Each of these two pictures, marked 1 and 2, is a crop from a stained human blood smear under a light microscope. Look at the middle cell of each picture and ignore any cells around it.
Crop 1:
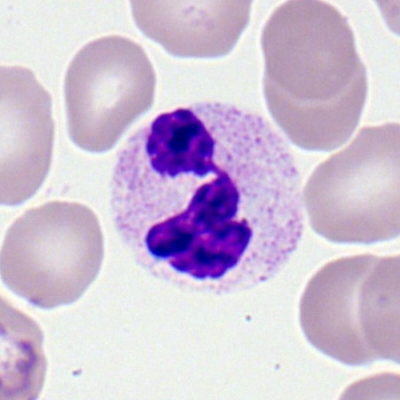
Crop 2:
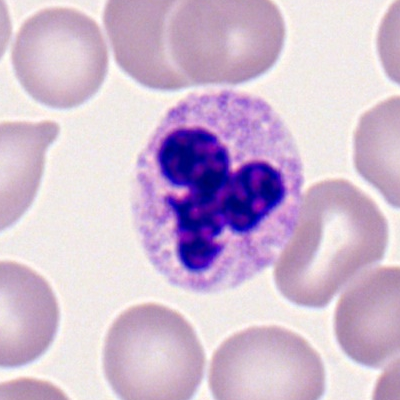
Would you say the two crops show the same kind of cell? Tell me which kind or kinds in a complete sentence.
Yes, the cells at the centre of both crops are segmented neutrophils.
